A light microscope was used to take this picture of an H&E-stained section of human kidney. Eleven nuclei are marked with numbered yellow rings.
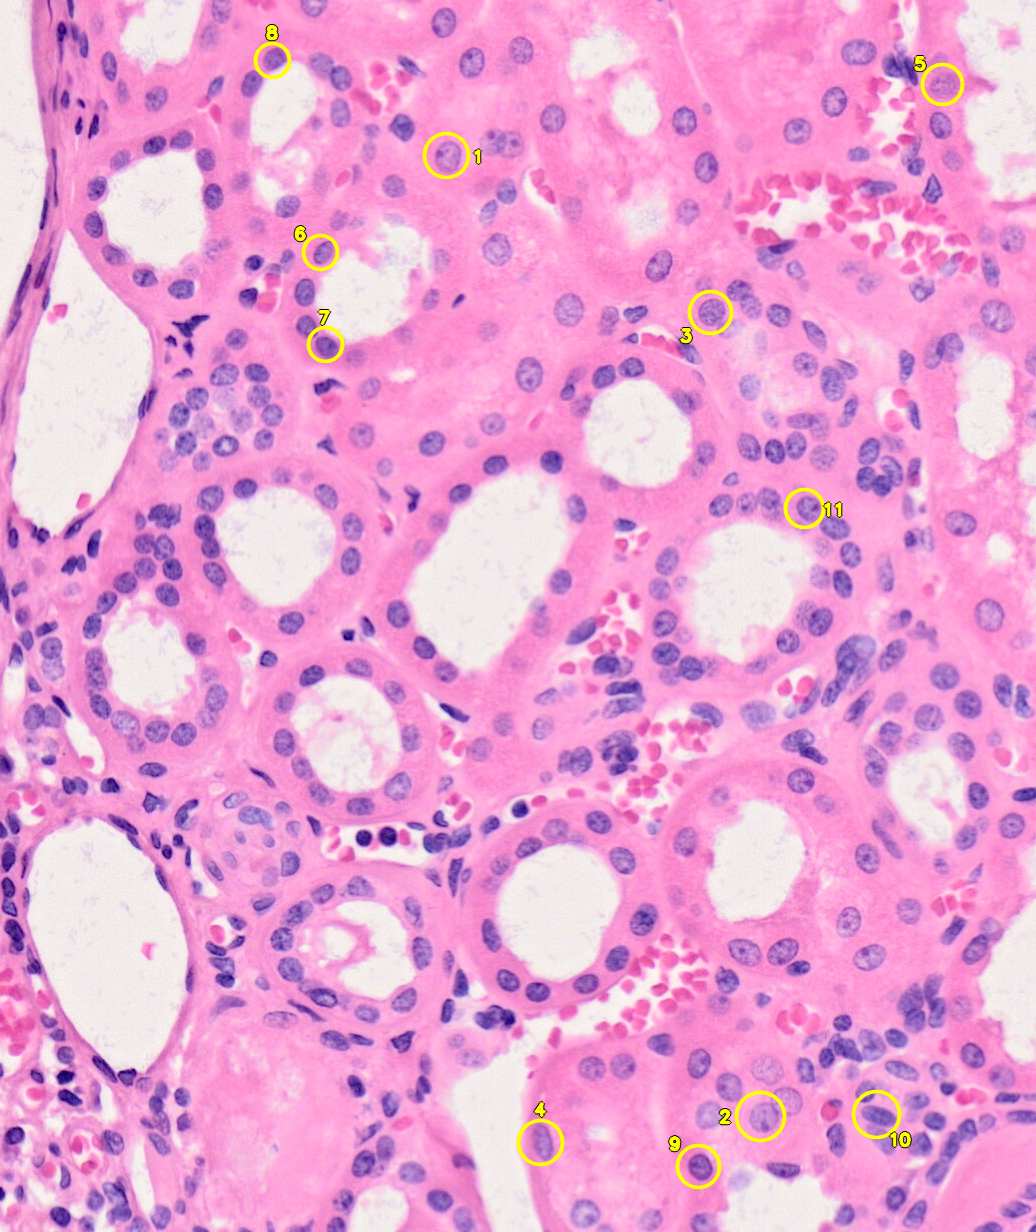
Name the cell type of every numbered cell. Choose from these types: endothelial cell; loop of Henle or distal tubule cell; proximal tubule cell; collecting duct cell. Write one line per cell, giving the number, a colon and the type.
1: proximal tubule cell
2: proximal tubule cell
3: collecting duct cell
4: proximal tubule cell
5: proximal tubule cell
6: loop of Henle or distal tubule cell
7: loop of Henle or distal tubule cell
8: loop of Henle or distal tubule cell
9: proximal tubule cell
10: collecting duct cell
11: collecting duct cell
